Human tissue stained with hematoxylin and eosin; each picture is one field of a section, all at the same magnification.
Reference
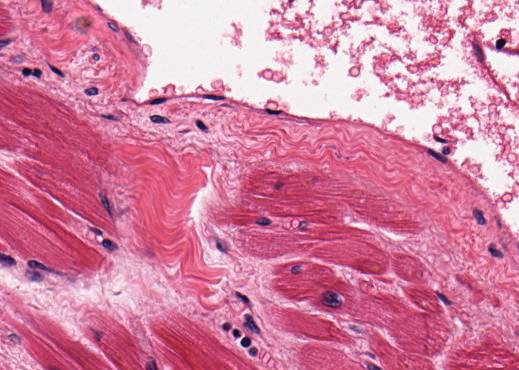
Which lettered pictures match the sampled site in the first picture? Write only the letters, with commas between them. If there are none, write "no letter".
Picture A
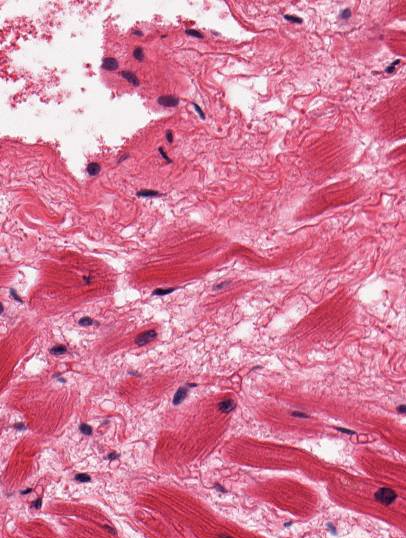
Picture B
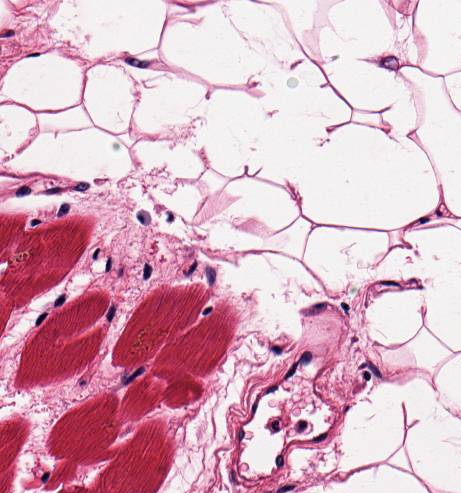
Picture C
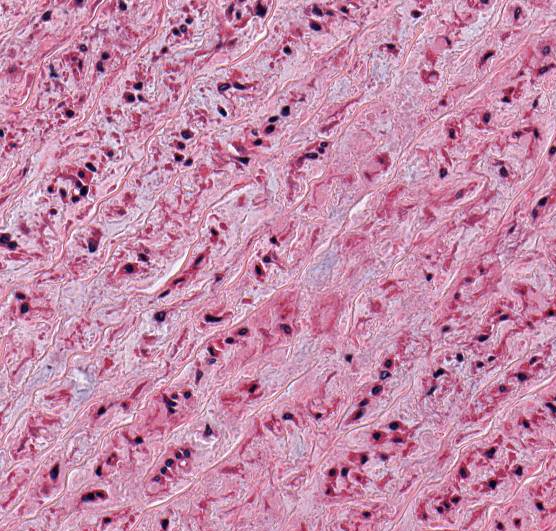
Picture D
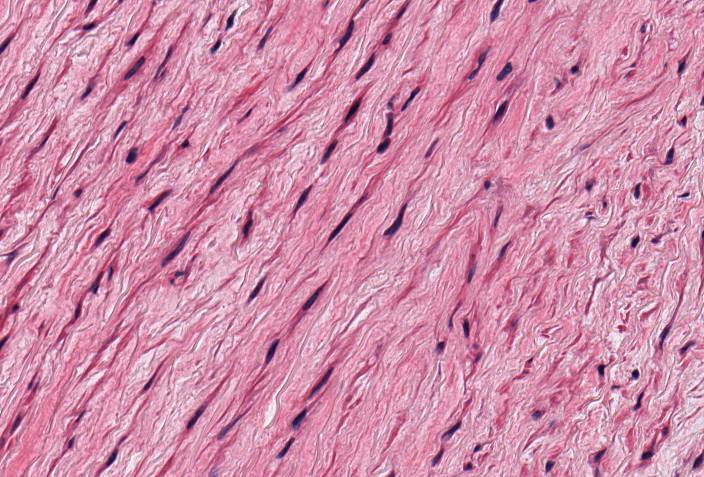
A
